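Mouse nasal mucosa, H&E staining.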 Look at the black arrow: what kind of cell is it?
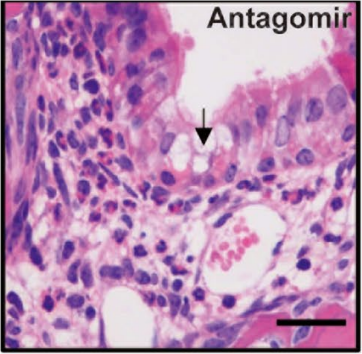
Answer: goblet cells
